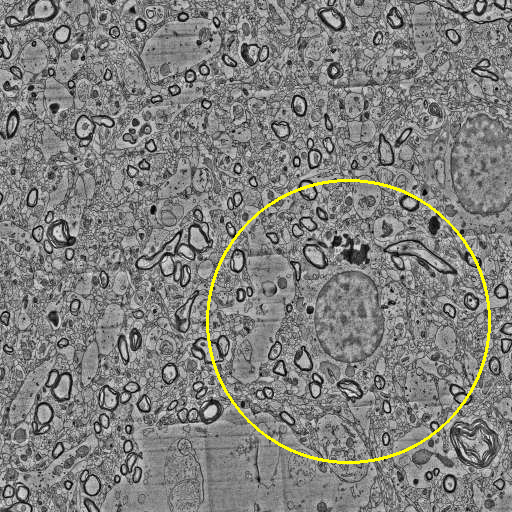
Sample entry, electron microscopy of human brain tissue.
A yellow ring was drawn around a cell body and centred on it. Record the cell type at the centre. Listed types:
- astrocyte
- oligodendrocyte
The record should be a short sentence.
The cell at the ring's centre is an oligodendrocyte.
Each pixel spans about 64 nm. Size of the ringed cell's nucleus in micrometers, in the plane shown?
About 6 by 5 micrometers for the nucleus, in this plane.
